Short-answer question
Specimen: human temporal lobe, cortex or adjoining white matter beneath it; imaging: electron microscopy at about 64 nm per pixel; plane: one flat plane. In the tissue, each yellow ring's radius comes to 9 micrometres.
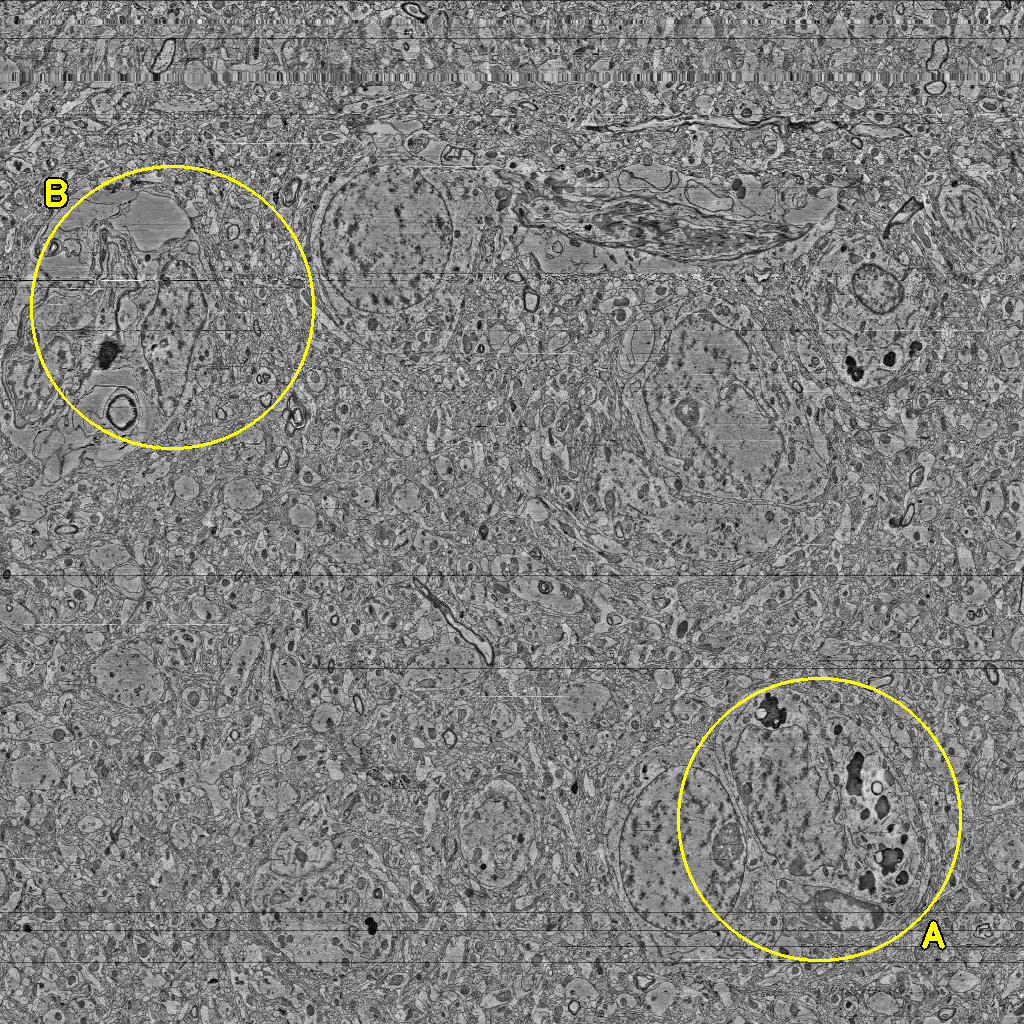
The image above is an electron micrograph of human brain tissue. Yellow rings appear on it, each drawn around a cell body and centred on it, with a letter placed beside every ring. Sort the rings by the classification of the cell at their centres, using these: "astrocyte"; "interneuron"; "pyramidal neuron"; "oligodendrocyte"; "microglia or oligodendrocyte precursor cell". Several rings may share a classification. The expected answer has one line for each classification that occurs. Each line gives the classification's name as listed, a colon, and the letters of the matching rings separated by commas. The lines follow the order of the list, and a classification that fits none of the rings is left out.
interneuron: A
microglia or oligodendrocyte precursor cell: B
